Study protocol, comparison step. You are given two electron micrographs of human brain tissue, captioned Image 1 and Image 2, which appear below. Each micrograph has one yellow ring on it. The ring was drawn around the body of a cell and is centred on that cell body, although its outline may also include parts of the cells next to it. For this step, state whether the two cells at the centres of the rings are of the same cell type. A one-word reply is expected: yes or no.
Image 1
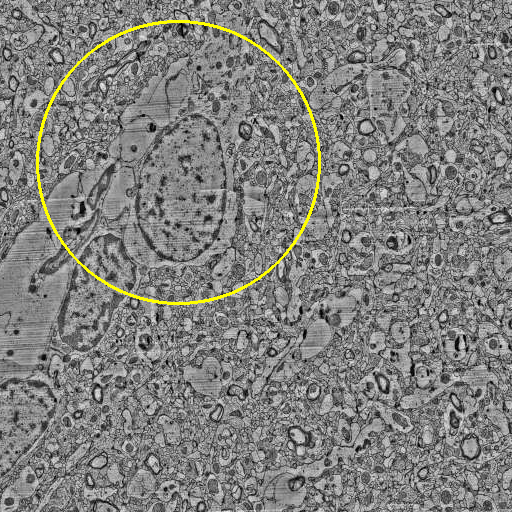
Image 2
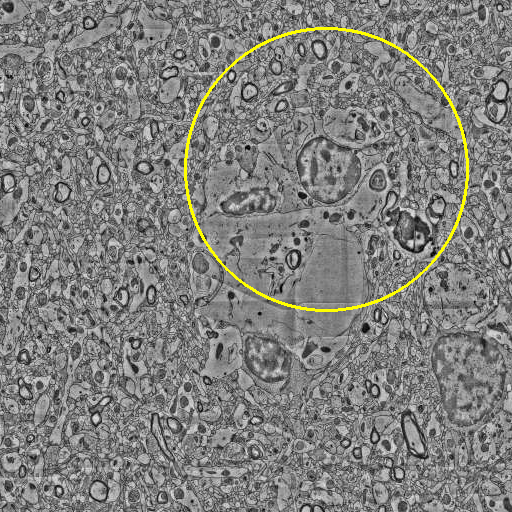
yes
